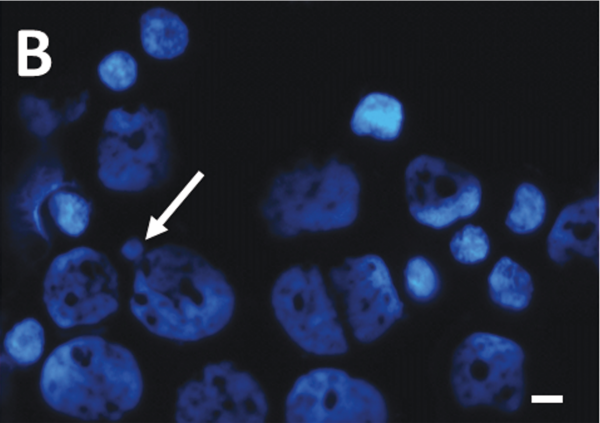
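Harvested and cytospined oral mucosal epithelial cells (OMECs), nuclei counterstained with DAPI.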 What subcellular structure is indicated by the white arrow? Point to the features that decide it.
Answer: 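The arrow points to a small round blue body far smaller than the nuclei around it. The small body lies right beside a larger nucleus but is separate from it. It stains blue like the nuclei.
Hence: micronucleus.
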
